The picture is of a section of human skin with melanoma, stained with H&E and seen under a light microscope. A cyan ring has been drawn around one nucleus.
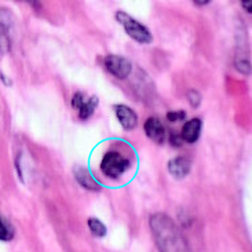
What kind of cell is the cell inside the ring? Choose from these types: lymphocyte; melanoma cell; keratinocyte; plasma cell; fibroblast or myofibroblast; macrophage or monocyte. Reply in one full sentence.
On this particular slide, the cell inside the ring is a plasma cell.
